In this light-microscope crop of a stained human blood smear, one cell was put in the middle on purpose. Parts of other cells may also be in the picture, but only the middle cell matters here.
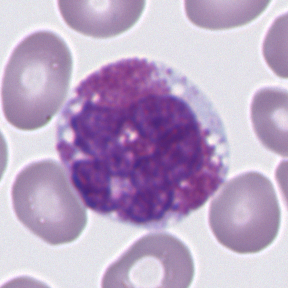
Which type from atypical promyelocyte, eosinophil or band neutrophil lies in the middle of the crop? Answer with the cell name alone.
eosinophil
